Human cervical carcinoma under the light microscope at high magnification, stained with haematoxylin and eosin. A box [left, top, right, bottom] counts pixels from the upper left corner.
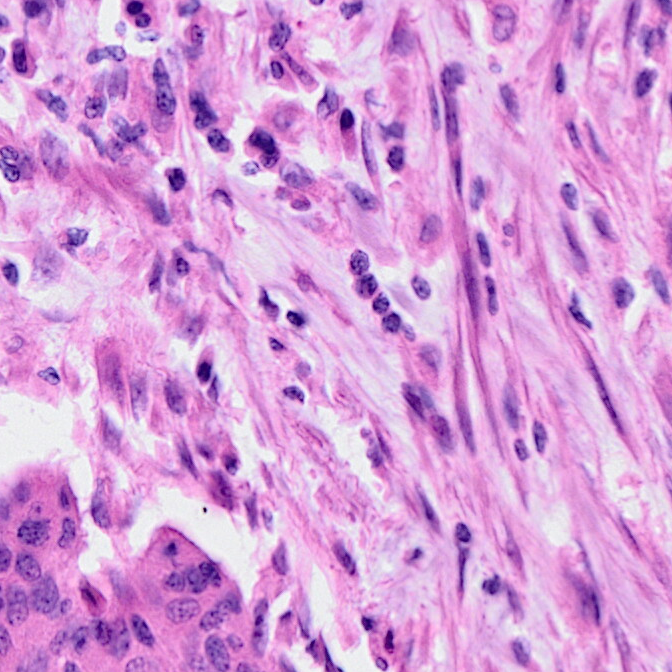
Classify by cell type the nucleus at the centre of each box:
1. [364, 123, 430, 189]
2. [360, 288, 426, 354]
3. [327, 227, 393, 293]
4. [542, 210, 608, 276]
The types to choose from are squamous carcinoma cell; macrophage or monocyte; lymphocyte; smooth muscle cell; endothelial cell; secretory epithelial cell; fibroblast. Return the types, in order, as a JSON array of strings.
["lymphocyte", "lymphocyte", "lymphocyte", "fibroblast"]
